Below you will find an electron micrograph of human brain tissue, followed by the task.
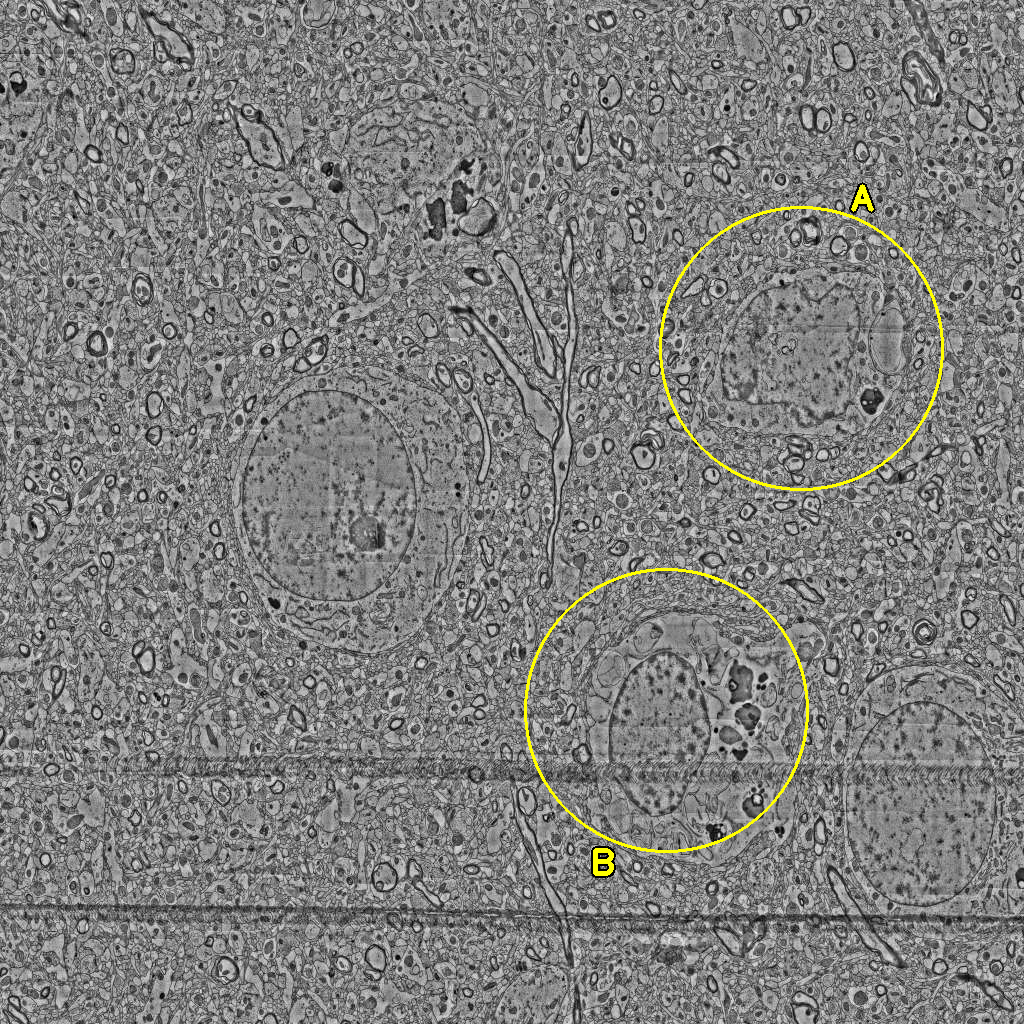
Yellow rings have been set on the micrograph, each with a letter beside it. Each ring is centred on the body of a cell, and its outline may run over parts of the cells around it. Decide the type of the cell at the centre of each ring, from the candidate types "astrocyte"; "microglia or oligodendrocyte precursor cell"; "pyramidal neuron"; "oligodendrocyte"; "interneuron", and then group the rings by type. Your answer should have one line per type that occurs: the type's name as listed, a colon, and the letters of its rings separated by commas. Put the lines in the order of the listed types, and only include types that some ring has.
astrocyte: B
interneuron: A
